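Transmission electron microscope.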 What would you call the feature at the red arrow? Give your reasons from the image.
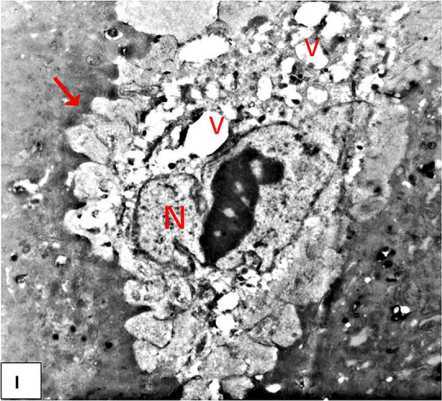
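The red arrow points at the cell margin. The margin is scalloped with many rounded outward protrusions.
Blebs.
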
